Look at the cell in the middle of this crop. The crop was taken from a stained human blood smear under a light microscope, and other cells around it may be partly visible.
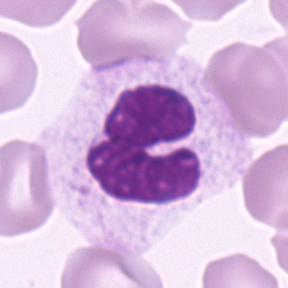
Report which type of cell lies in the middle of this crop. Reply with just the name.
segmented neutrophil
